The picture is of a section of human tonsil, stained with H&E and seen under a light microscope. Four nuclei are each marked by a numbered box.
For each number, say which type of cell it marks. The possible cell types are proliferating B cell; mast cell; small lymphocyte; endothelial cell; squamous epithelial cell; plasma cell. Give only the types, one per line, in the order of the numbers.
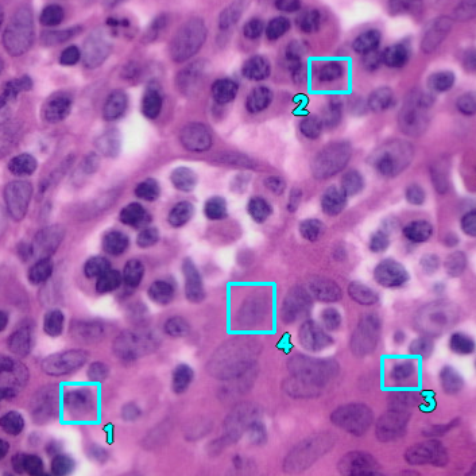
squamous epithelial cell
plasma cell
squamous epithelial cell
squamous epithelial cell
